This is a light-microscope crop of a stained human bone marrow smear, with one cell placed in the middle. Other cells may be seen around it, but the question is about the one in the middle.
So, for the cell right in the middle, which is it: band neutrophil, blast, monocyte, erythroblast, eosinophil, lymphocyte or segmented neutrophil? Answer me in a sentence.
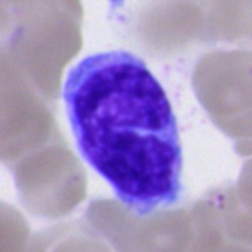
For this crop, the cell in the middle is a monocyte.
